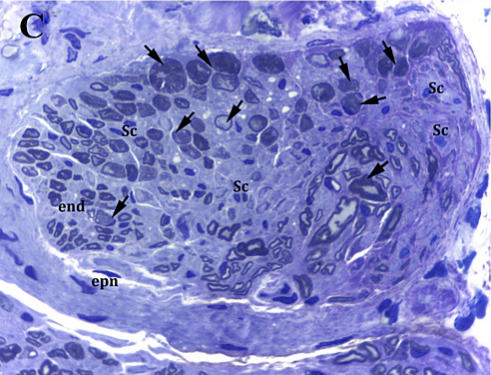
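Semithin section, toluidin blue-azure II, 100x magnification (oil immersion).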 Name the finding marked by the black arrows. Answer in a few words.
Degenerated myelinated nerve fibers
